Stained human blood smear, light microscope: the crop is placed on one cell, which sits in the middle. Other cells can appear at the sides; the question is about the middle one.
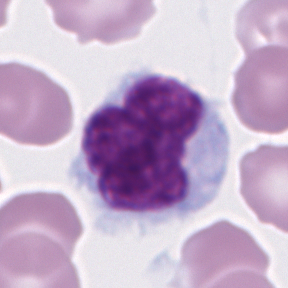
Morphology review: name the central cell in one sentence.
The cell shown in the center of this light-microscope crop is a hairy cell.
